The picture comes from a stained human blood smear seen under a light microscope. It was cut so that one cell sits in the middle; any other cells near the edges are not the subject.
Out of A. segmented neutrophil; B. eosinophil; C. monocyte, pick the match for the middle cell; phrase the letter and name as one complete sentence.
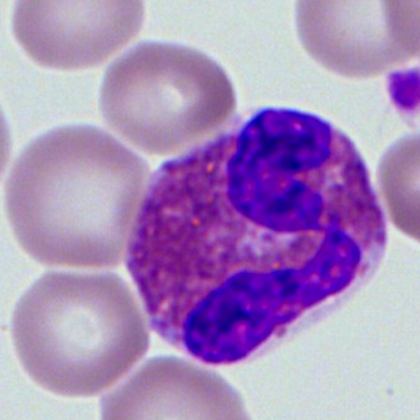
Identification: the cell in the middle is an eosinophil, matching option B.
